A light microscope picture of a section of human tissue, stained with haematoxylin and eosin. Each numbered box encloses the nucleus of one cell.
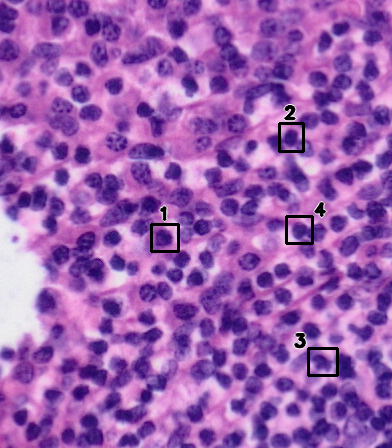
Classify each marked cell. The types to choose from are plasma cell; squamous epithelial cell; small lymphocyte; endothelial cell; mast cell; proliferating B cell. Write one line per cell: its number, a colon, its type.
1: plasma cell
2: small lymphocyte
3: small lymphocyte
4: small lymphocyte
